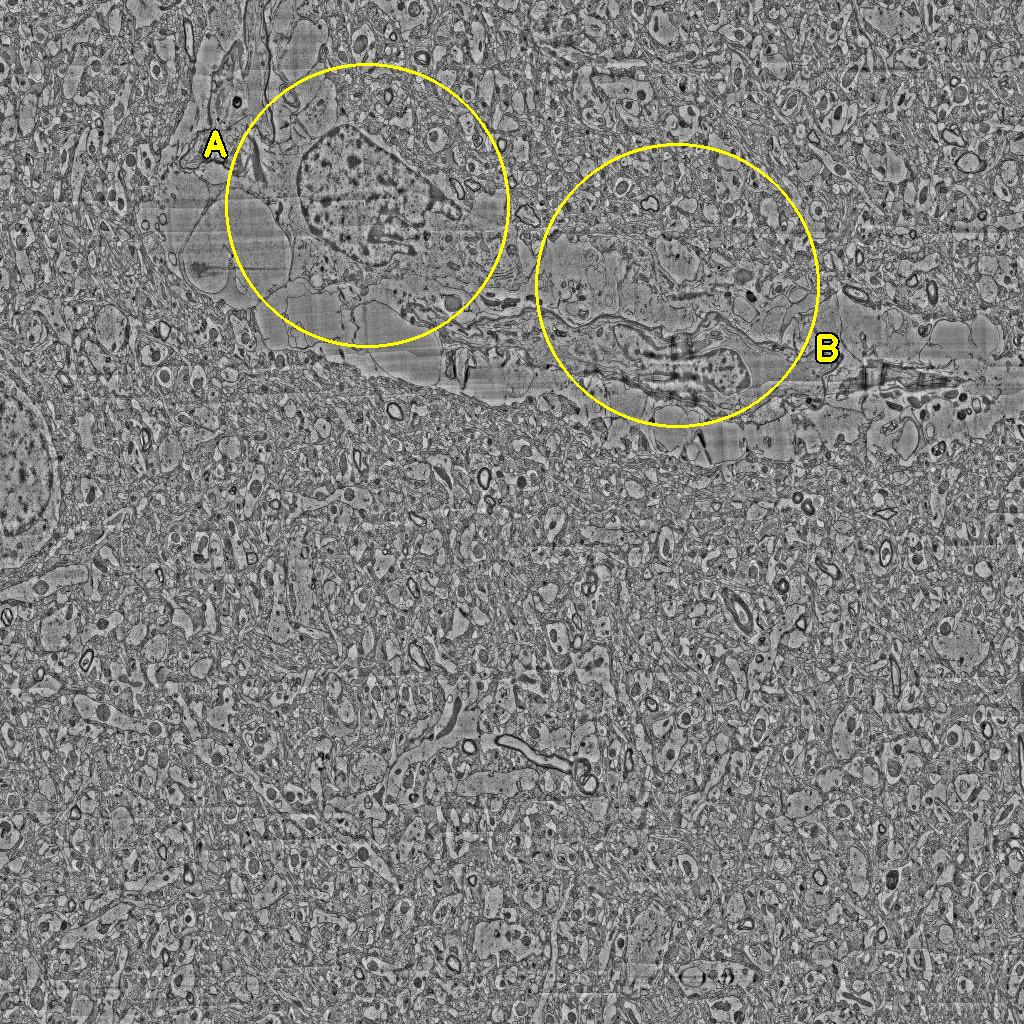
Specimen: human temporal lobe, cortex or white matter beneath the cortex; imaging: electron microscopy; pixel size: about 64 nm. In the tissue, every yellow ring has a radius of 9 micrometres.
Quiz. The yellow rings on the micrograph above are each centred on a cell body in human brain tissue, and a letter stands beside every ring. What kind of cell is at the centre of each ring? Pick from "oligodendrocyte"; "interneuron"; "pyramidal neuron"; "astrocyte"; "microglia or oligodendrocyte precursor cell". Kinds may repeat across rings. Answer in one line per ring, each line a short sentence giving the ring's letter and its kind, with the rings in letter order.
The ring labelled A has a microglial cell or oligodendrocyte precursor cell at its centre.
The ring labelled B has a microglial cell or oligodendrocyte precursor cell at its centre.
